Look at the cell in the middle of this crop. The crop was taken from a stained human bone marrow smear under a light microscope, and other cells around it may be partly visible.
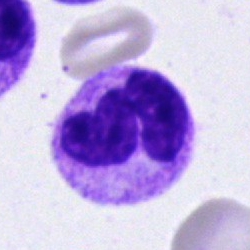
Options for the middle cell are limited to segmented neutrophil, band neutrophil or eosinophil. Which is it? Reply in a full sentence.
This crop has a segmented neutrophil at its centre.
